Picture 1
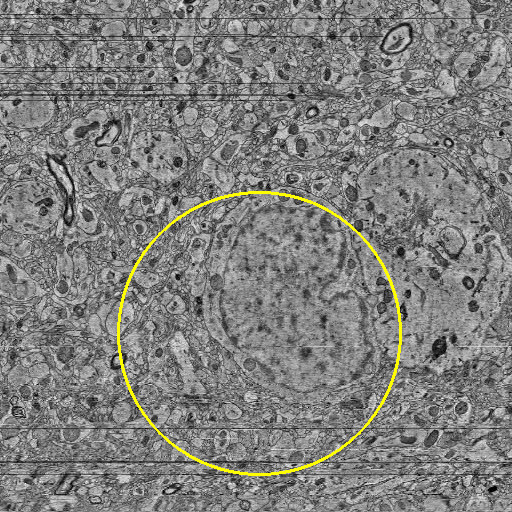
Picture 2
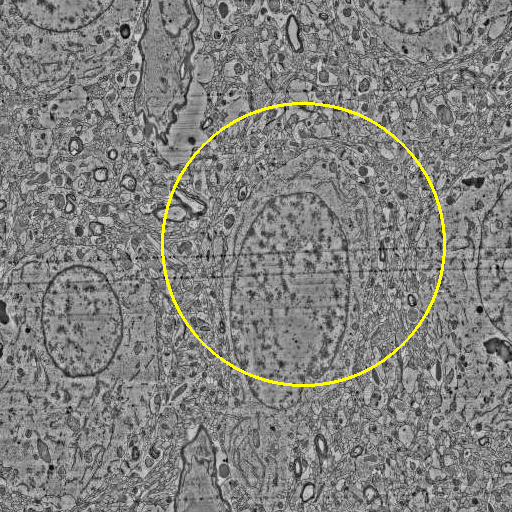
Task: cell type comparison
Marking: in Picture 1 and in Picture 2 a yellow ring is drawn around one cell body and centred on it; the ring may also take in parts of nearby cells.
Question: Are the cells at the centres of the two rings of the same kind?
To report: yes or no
yes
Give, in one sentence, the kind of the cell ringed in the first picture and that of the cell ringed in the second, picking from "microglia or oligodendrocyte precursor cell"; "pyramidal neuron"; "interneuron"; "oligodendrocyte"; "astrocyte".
Both rings mark an interneuron, one in each picture.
